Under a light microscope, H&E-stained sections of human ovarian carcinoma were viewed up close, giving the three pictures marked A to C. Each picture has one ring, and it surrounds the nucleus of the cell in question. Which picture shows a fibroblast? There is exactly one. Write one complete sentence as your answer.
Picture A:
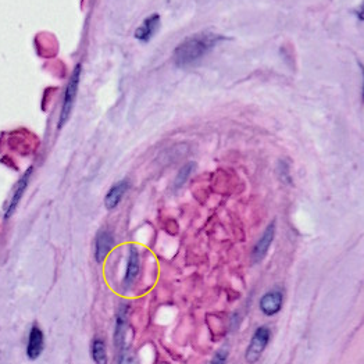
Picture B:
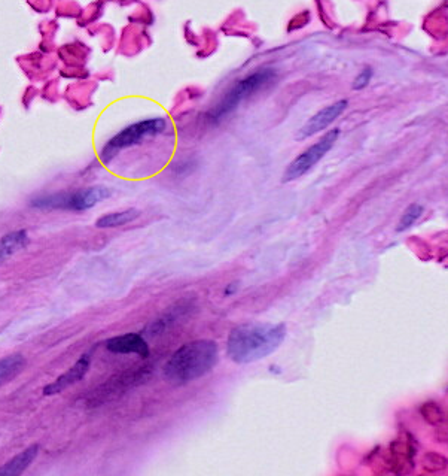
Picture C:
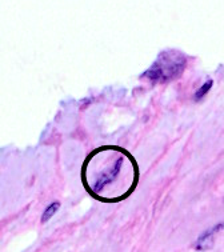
It is picture C that shows the fibroblast.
